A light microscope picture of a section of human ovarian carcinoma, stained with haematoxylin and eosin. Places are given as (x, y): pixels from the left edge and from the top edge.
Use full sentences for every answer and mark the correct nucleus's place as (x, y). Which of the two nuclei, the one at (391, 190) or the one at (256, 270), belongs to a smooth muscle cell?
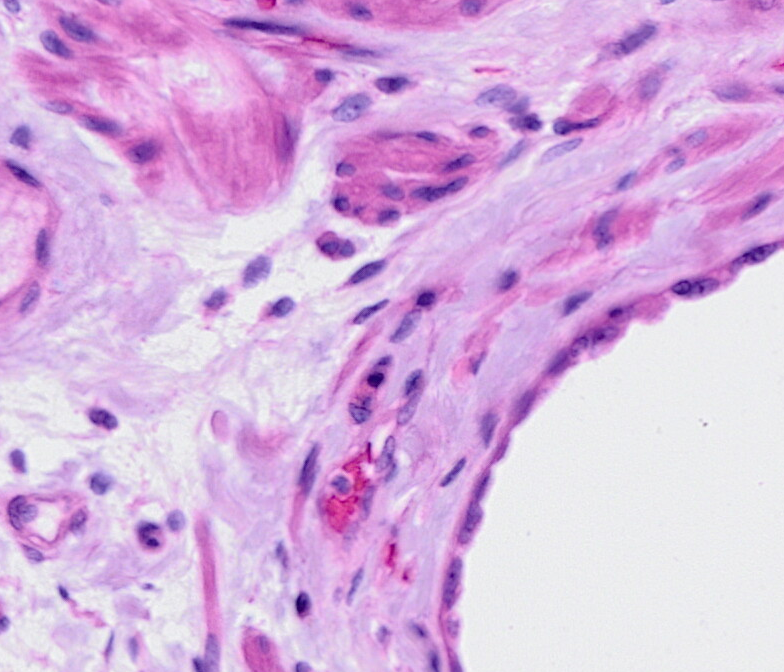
Located at (391, 190), this nucleus is the one belonging to a smooth muscle cell.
